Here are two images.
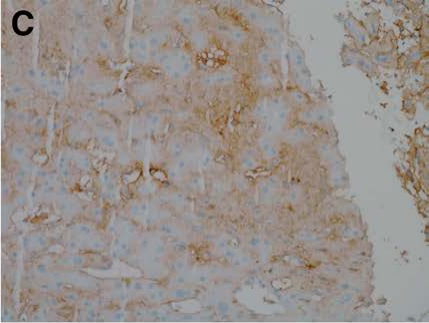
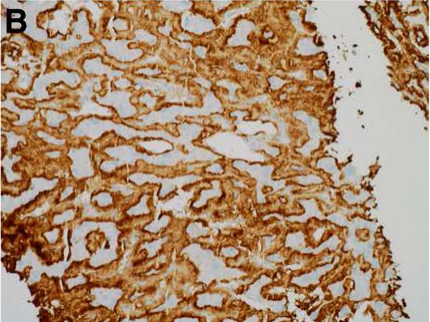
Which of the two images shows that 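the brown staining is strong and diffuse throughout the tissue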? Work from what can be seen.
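First image: only faint, patchy light-brown staining over mostly pale blue tissue. Second image: intense dark-brown staining forms a continuous lace-like network across the whole field. On this evidence: the second image.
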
